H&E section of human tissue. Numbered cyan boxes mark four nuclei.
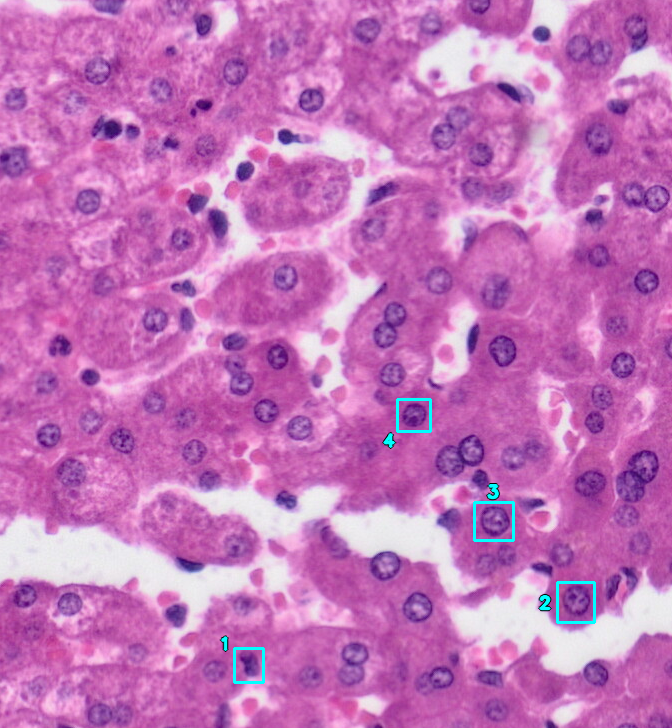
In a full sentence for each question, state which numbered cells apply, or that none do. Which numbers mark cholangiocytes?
Concerning the numbered cells, no cholangiocytes are among them.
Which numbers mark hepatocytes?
The cells marked 2, 3 and 4 in the section are hepatocytes.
